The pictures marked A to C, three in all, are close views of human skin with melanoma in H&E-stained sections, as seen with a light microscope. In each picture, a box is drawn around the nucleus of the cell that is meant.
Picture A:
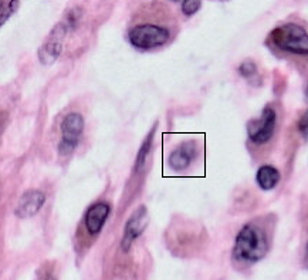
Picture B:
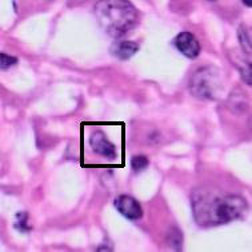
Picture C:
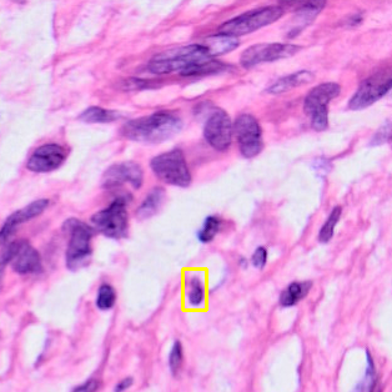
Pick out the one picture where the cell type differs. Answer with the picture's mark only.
A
